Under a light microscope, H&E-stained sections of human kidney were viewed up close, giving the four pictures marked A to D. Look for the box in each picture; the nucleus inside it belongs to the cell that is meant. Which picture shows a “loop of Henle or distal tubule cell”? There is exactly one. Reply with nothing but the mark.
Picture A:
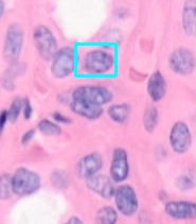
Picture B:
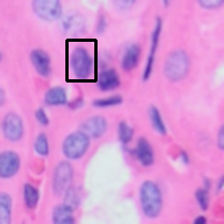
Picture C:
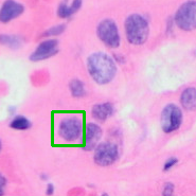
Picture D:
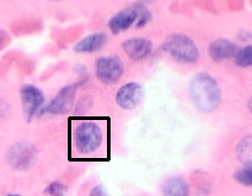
D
